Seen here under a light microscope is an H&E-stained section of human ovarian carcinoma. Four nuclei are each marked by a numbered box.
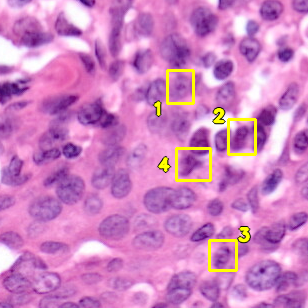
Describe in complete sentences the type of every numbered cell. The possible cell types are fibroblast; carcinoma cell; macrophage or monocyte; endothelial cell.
Cells 1, 2 and 4 are carcinoma cells. Cell 3 is a macrophage or monocyte.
